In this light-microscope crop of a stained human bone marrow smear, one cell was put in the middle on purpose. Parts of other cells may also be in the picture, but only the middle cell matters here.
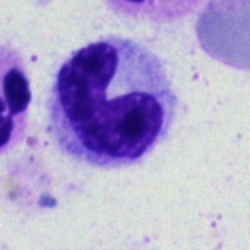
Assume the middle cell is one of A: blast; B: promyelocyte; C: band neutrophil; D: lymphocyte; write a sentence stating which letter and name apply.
The middle cell of the crop is a band neutrophil; accordingly, option C is correct.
